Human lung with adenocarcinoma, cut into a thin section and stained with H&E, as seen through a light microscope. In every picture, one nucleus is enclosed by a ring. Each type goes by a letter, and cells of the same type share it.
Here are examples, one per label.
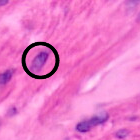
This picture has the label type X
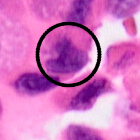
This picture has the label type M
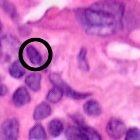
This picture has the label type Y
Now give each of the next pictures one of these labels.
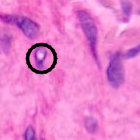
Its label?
type X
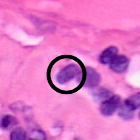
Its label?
type Y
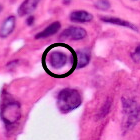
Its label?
type Y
